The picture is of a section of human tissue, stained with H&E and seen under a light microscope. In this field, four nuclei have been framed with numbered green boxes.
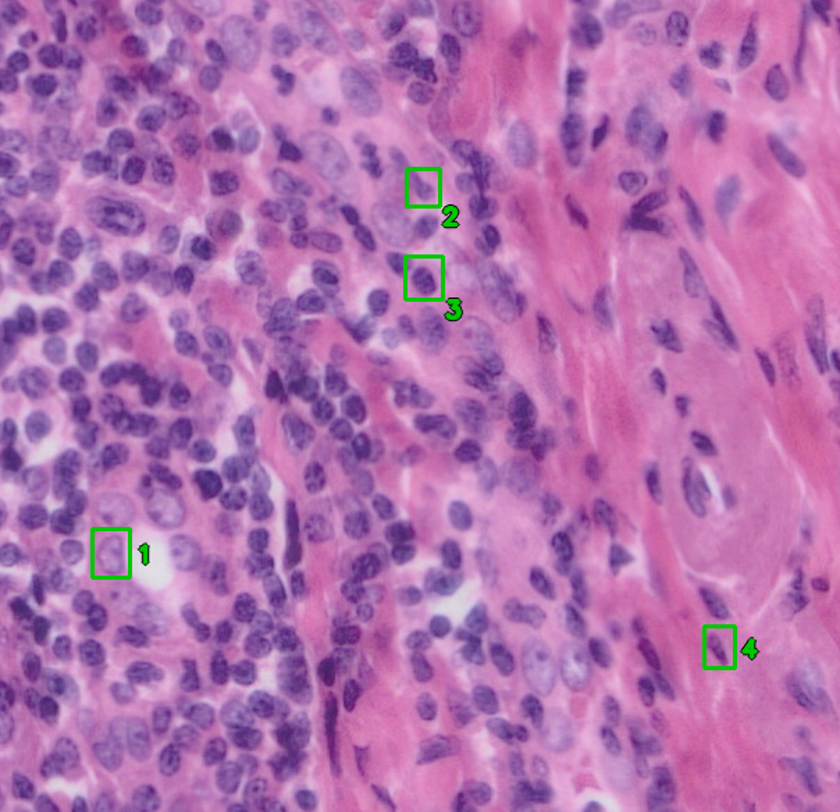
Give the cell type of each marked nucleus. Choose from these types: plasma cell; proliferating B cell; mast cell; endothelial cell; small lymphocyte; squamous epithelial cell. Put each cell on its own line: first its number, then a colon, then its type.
1: endothelial cell
2: endothelial cell
3: endothelial cell
4: mast cell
